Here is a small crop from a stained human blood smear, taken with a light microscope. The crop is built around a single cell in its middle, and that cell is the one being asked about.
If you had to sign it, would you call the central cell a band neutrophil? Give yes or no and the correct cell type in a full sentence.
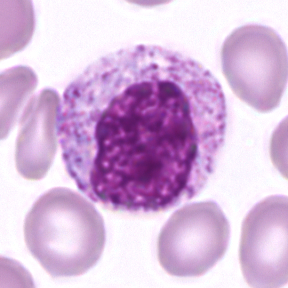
No, it is a metamyelocyte, not a band neutrophil, that lies at the centre of the crop.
